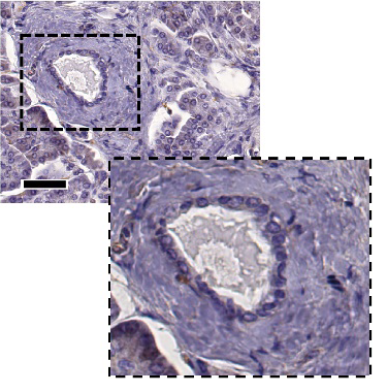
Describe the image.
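This is a non-tumor region showing a round duct with an open lumen containing pale material. The duct is lined by a single orderly layer of small cells with regular, blue-stained nuclei. The lining cells and surrounding tissue show little brown staining and look mainly blue-grey. Around the duct lies connective tissue with scattered nuclei, shown enlarged in the inset.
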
